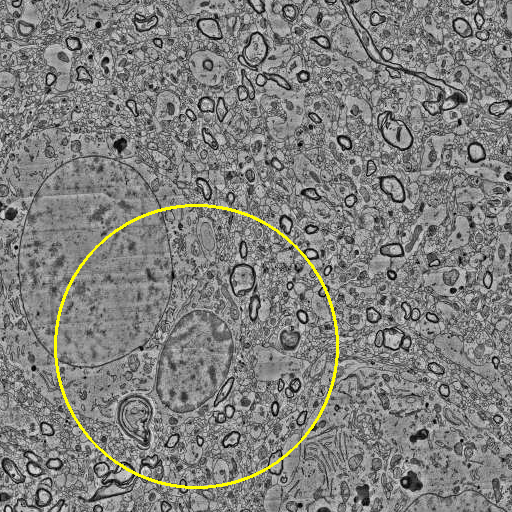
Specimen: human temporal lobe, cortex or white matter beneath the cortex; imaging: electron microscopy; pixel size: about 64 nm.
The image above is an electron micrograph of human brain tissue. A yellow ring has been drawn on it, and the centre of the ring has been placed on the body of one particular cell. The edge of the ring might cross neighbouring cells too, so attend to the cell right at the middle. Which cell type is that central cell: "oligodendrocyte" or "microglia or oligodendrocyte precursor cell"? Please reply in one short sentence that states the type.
The central cell in the ring is an oligodendrocyte.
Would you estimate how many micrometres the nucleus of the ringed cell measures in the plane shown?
Approximately 7 micrometres long and 5 micrometres wide, in this plane.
